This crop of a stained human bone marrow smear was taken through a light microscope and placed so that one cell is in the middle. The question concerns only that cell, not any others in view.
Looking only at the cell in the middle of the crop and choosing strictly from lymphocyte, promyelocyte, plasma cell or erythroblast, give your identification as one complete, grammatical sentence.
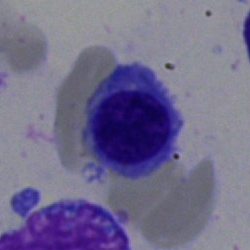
Whatever else lies nearby, the middle cell is an erythroblast.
